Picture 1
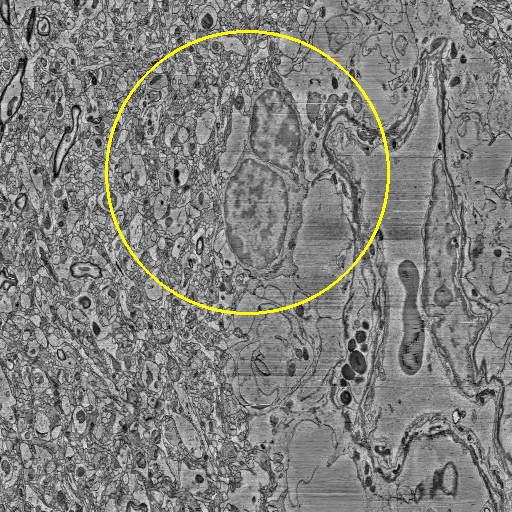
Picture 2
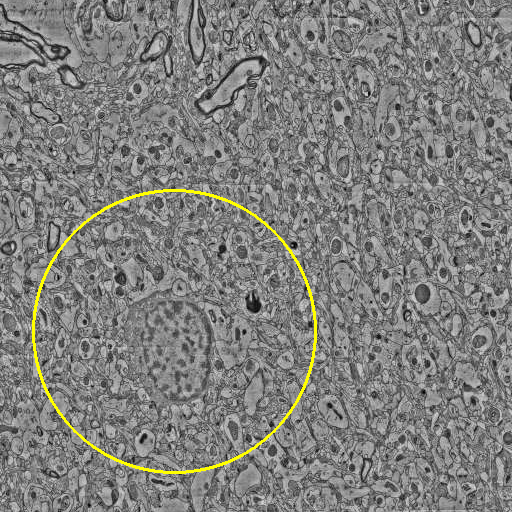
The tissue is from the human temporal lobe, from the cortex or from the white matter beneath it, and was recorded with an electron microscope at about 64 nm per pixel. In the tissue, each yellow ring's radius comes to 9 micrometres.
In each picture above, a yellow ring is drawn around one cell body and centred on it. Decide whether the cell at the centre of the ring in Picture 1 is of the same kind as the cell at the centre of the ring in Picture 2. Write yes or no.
yes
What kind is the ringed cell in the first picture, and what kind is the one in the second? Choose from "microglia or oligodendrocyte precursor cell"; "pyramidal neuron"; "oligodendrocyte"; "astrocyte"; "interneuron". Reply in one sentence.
Both pictures show an oligodendrocyte at the centre of the ring.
